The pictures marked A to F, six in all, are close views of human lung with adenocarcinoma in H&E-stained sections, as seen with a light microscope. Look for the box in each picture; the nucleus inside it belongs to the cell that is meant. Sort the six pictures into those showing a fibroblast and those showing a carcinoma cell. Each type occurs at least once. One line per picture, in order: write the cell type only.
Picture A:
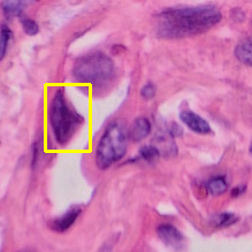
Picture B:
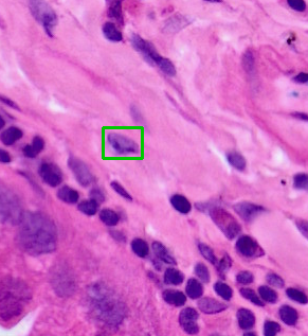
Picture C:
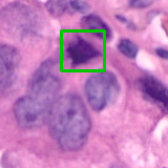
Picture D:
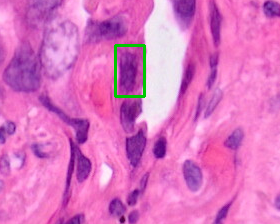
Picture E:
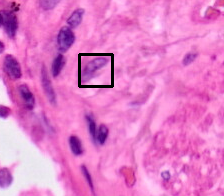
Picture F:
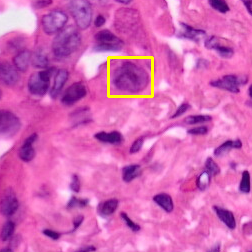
carcinoma cell
fibroblast
carcinoma cell
carcinoma cell
fibroblast
carcinoma cell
